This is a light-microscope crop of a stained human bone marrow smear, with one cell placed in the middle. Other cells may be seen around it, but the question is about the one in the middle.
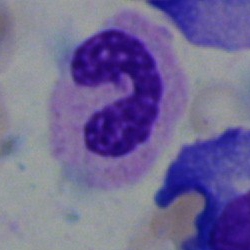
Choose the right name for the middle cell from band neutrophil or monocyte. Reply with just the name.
band neutrophil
